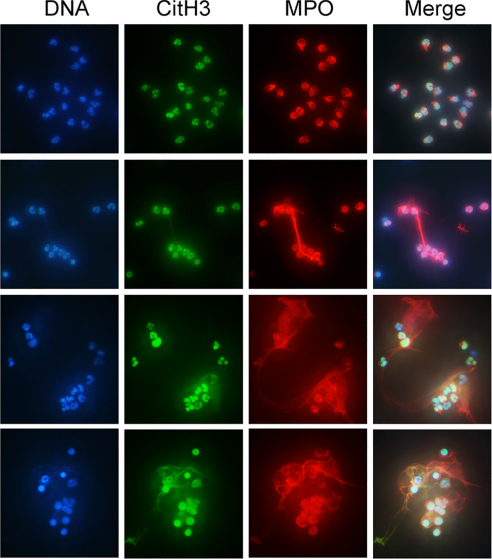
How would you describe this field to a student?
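In the top row the cells stay rounded and separate. Each has a compact nucleus, and the green and red stains sit over the cell bodies. Further down, thin red threads begin to run between the cells. In the lower rows, broad, faint red and green sheets and fibres spread out from the clustered cells. These look like extracellular webs covering the area around the nuclei. Many nuclei in those clusters glow brightly in green.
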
